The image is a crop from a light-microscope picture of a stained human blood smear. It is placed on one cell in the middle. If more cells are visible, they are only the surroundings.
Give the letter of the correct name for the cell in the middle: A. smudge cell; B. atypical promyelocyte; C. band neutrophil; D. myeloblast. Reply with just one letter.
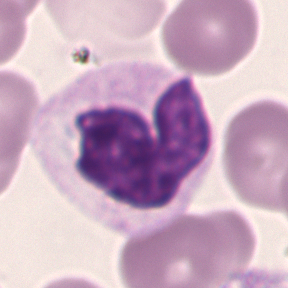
C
